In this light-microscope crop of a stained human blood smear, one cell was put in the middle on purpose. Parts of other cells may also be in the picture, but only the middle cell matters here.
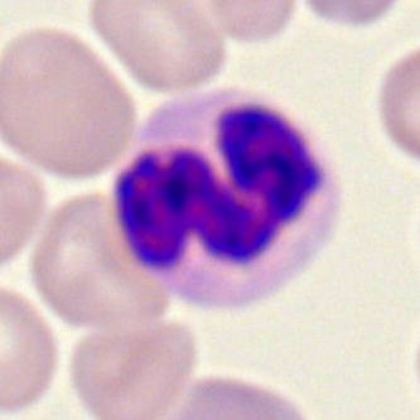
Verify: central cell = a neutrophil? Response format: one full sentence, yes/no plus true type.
Yes, that is a neutrophil in the middle of the crop.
